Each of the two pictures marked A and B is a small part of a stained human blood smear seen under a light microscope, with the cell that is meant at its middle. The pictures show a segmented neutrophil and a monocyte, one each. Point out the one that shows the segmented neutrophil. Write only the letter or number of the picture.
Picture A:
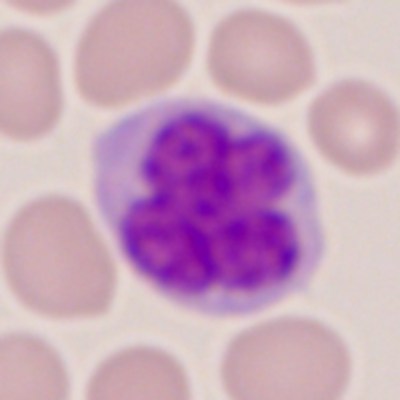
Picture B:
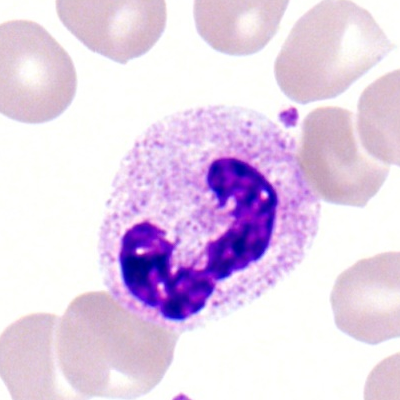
B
